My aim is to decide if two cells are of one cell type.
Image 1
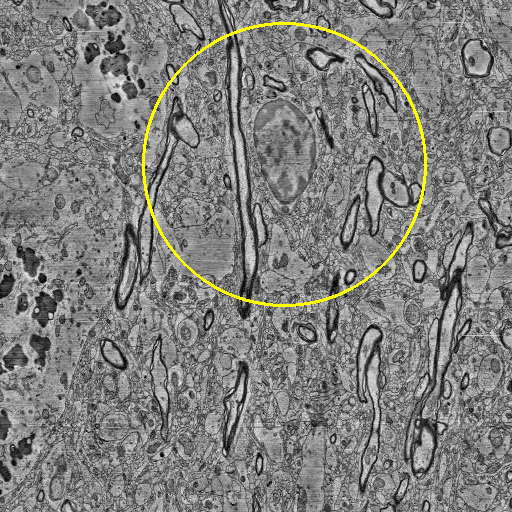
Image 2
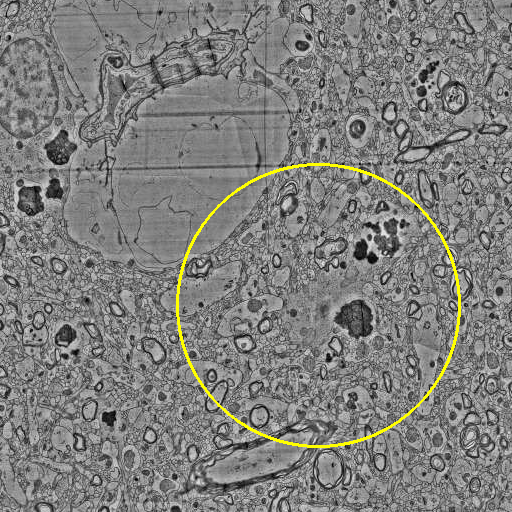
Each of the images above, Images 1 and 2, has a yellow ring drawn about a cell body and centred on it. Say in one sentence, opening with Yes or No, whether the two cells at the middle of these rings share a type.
No, in Images 1 and 2 the cells at the middle of the rings fall into two types.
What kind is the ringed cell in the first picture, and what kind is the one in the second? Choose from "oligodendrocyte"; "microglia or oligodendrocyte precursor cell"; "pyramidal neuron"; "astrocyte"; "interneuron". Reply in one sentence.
The first cell is a microglial cell or oligodendrocyte precursor cell; the second is an oligodendrocyte.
